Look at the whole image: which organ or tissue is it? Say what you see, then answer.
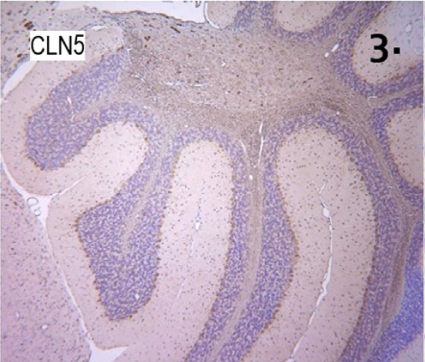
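Tissue folded into several lobules. Each lobule has a dense blue-nuclear core layer beneath a paler outer layer.
Conclusion: cerebellum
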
